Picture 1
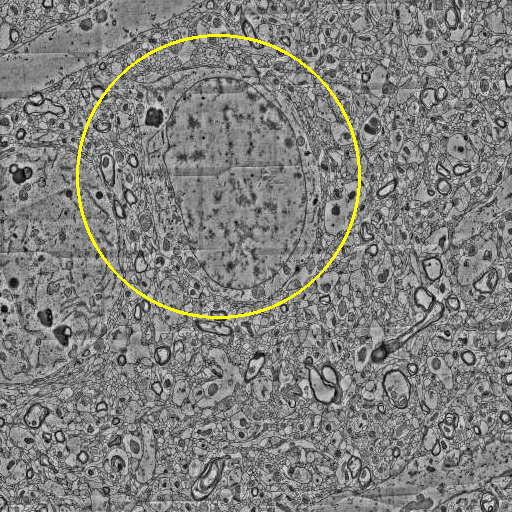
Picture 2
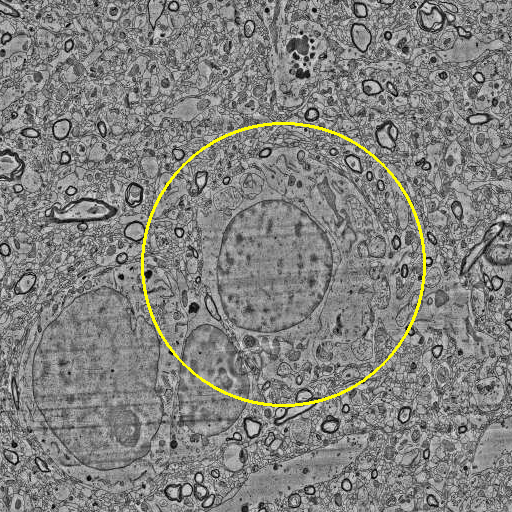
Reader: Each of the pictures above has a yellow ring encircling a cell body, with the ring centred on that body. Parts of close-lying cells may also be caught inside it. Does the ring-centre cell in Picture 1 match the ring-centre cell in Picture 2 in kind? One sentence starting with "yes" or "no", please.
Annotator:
No, Picture 1 and Picture 2 show ring-centre cells of two kinds.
